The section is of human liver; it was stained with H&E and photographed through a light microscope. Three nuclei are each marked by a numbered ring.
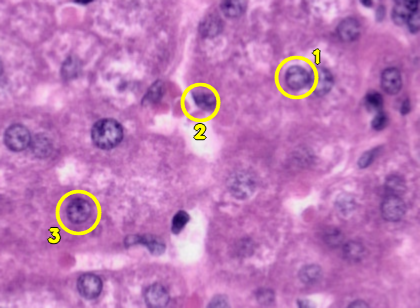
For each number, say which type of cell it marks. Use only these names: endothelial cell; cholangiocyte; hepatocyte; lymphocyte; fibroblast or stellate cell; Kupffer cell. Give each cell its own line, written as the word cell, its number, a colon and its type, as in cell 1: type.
cell 1: hepatocyte
cell 2: endothelial cell
cell 3: hepatocyte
